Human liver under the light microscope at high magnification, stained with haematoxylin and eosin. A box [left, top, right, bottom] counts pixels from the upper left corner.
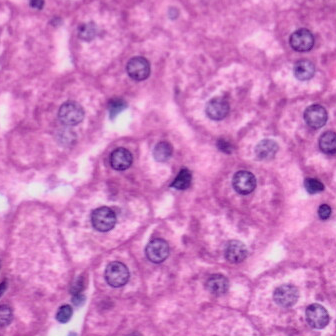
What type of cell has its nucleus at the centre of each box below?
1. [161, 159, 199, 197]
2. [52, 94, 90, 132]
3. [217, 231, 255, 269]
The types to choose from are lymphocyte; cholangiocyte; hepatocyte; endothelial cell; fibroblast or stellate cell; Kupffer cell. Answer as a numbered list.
1. fibroblast or stellate cell
2. hepatocyte
3. hepatocyte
